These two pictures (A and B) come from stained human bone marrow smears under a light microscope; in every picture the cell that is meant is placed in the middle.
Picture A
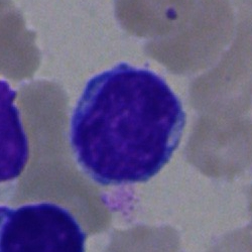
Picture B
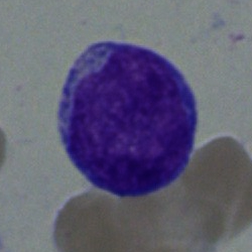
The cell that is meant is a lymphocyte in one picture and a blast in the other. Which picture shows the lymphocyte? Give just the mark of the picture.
A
